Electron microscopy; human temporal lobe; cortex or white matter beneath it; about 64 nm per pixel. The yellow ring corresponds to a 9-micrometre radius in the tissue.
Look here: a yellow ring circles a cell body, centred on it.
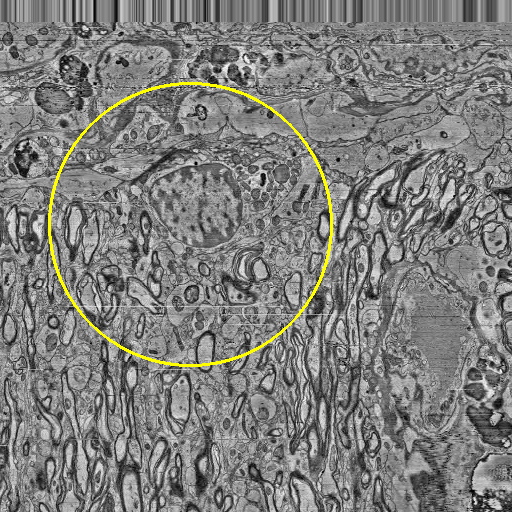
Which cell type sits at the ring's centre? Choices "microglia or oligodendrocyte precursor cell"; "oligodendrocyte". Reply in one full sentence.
The cell at the centre of the yellow ring in the picture is a microglial cell or oligodendrocyte precursor cell.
